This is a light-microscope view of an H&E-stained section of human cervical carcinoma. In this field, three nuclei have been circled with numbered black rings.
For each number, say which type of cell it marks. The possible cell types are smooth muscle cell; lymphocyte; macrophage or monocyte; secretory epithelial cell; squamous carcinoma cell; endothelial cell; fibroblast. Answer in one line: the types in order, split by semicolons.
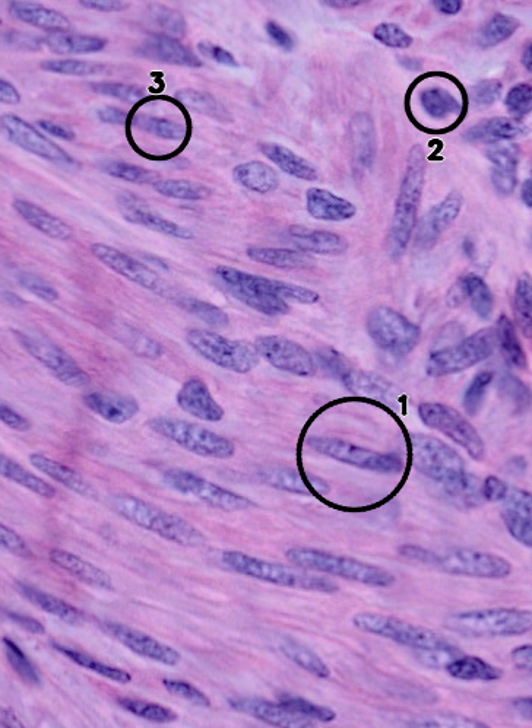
smooth muscle cell; lymphocyte; smooth muscle cell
